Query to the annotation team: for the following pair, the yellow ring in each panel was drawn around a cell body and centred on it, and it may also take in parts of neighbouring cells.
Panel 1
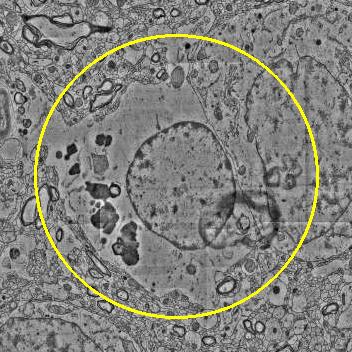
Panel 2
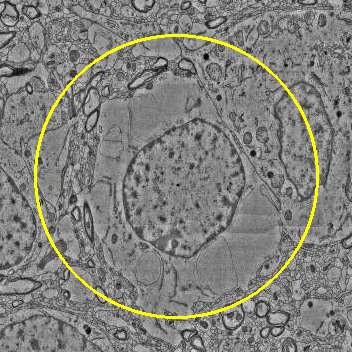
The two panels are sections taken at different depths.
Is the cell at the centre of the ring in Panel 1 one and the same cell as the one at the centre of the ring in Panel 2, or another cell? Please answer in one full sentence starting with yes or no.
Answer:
Yes, both marked profiles belong to the very same cell.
